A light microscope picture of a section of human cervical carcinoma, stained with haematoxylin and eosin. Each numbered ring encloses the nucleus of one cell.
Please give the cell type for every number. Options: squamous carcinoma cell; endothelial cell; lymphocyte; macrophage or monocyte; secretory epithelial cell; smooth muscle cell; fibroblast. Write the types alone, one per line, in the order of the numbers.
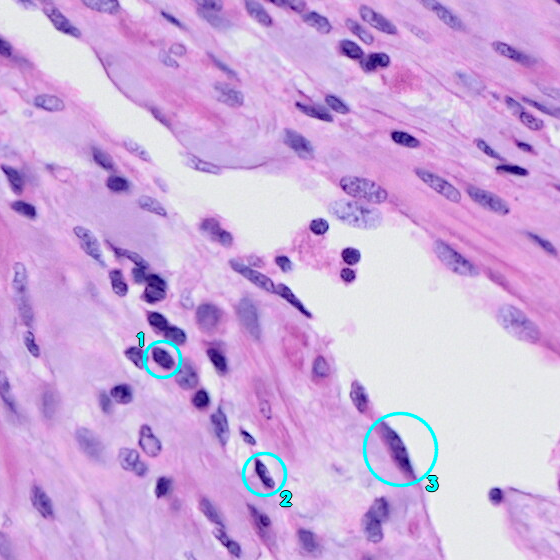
lymphocyte
lymphocyte
endothelial cell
